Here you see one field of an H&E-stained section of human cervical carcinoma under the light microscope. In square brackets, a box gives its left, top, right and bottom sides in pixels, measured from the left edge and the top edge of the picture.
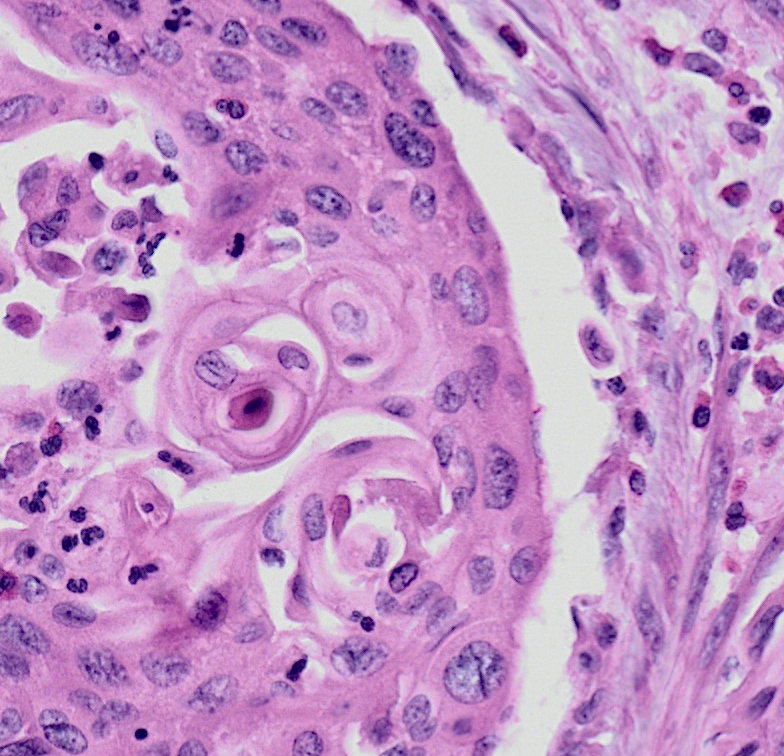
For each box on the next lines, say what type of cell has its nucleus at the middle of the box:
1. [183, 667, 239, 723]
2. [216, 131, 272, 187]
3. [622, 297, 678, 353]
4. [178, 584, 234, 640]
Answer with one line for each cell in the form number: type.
1: squamous carcinoma cell
2: squamous carcinoma cell
3: fibroblast
4: squamous carcinoma cell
